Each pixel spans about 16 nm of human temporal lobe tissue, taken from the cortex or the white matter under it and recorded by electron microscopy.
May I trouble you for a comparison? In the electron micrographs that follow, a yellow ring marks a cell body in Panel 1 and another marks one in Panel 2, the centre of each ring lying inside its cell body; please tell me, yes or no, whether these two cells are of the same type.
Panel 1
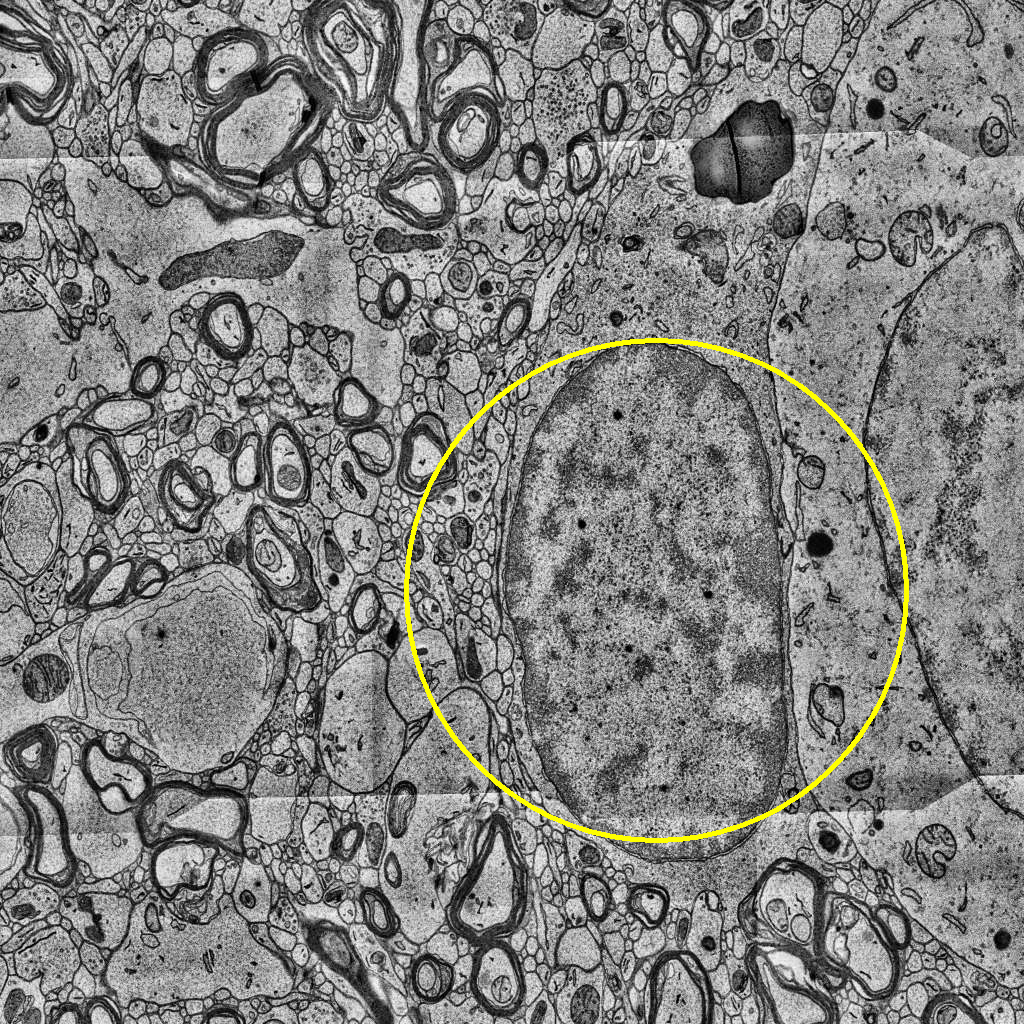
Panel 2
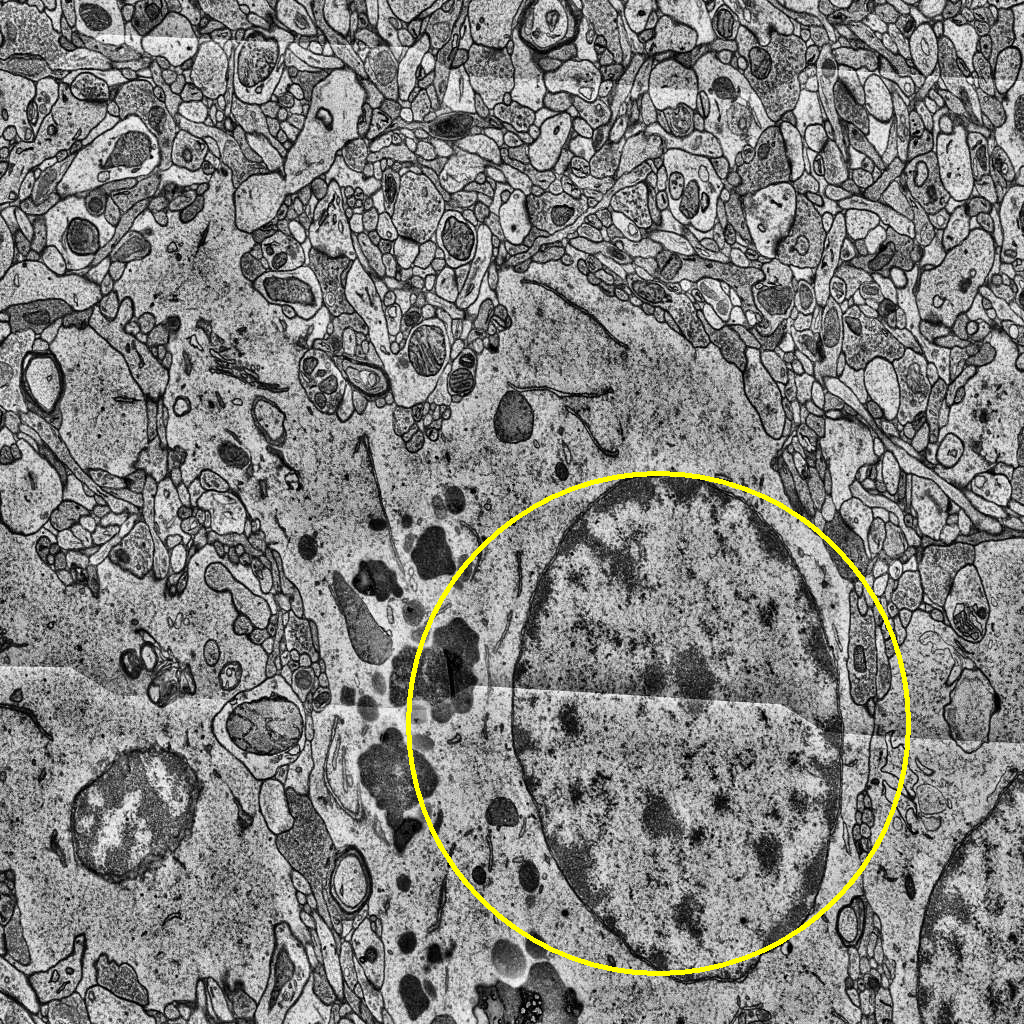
no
